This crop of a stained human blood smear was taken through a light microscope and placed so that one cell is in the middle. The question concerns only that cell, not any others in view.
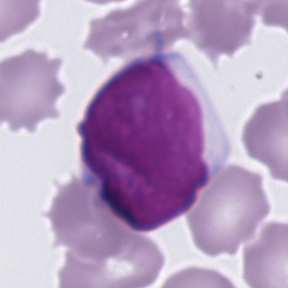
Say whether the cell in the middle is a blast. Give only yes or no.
yes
